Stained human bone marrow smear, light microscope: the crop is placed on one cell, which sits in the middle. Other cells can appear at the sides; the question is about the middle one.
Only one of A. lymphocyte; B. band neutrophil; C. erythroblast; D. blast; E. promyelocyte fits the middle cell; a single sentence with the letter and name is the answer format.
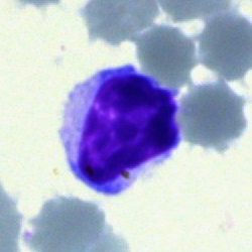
What sits in the middle of the crop is a lymphocyte, and option A is correct.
